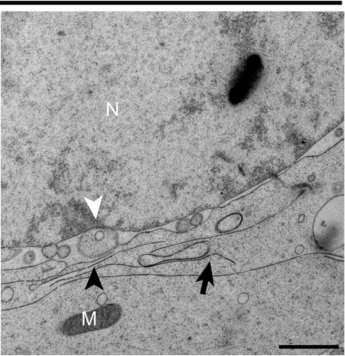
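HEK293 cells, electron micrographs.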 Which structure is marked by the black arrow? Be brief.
closely apposed membranes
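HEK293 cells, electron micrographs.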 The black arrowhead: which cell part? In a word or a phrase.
Outer nuclear membrane.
